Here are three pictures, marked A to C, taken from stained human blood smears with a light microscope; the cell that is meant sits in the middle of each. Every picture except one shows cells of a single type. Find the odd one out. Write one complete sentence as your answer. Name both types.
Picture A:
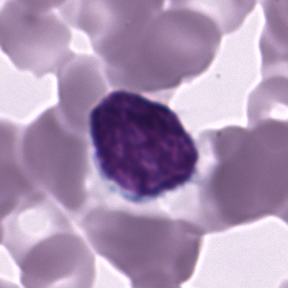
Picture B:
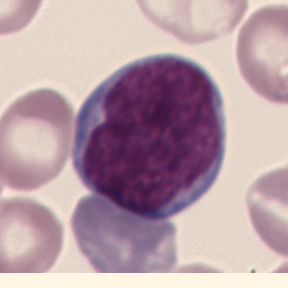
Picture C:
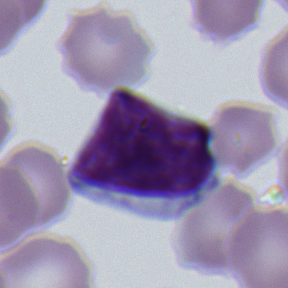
All pictures except B show typical lymphocytes; picture B shows a myeloblast.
